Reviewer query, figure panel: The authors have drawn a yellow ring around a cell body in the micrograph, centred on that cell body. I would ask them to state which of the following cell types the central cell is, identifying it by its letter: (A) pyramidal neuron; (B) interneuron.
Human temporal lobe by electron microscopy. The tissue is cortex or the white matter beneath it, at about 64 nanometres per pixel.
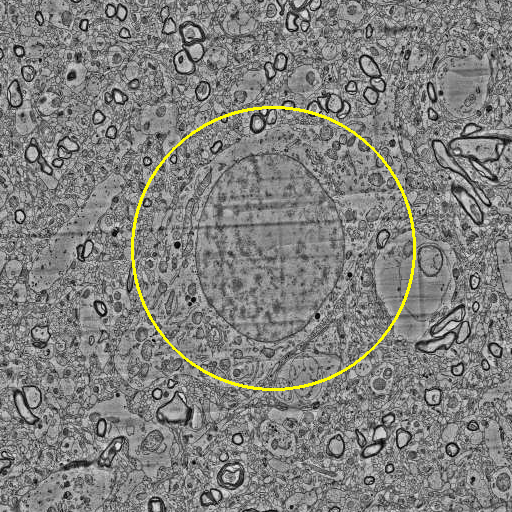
B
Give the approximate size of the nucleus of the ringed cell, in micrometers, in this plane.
The ringed cell's nucleus measures approximately 12 by 10 micrometres in this plane.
